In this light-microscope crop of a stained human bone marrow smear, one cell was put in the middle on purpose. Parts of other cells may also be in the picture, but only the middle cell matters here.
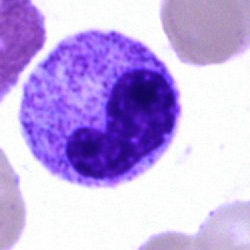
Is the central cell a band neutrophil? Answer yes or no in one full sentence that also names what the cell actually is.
Yes, the cell under consideration, the one in the middle, is a band neutrophil.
